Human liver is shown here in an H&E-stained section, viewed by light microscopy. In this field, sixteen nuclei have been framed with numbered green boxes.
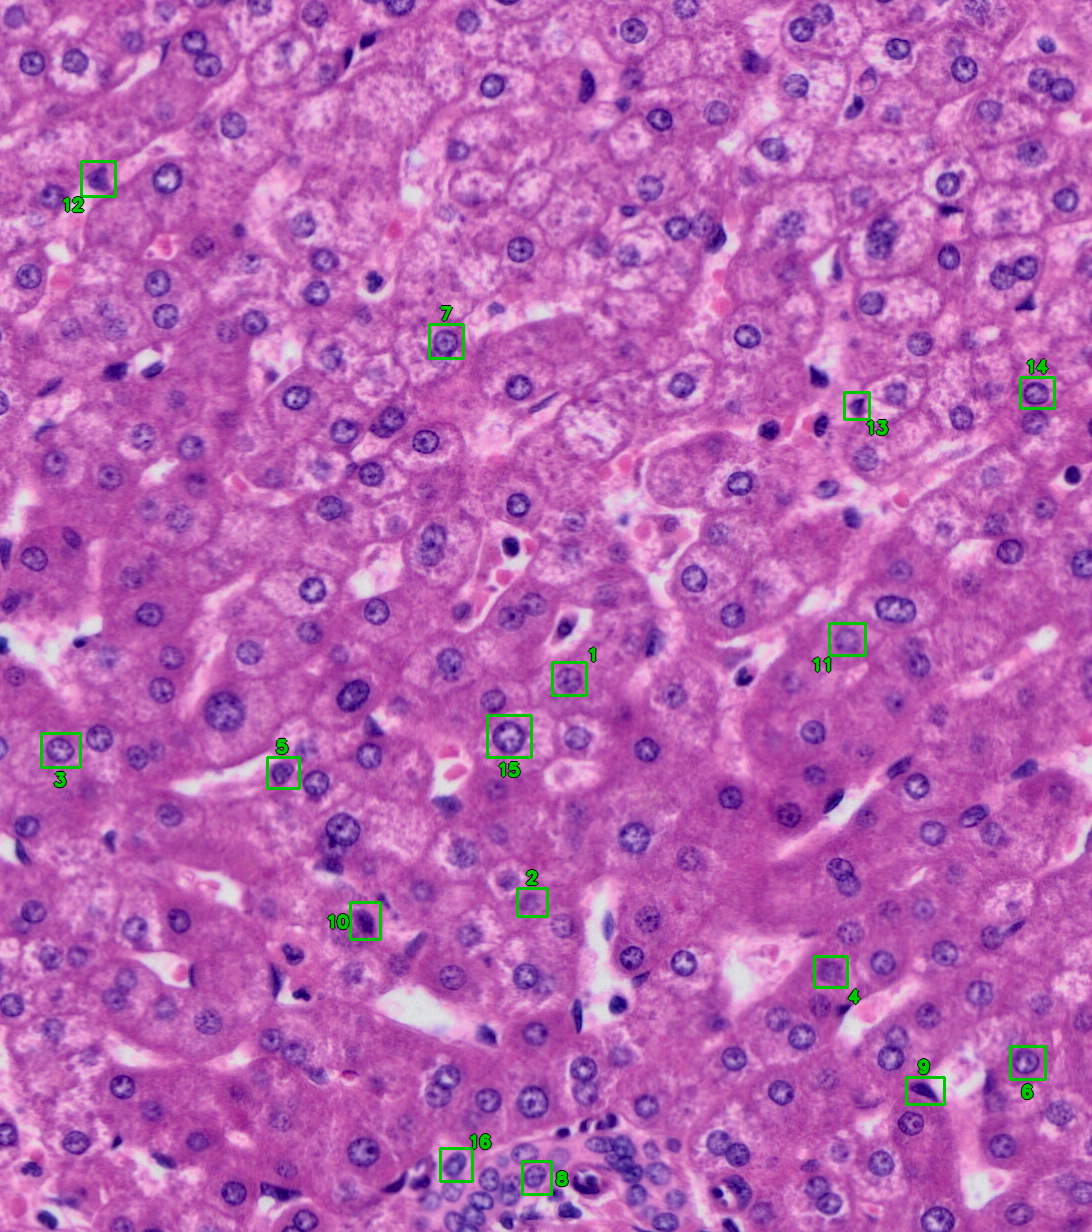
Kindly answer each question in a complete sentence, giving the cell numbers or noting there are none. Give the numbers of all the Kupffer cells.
Only one marked cell, number 5, is a Kupffer cell.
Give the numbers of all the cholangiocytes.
The cells to which the numbers 8 and 16 refer are cholangiocytes.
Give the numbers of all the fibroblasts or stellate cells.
Here, the cells that carry numbers 9, 10 and 13 are fibroblasts or stellate cells.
